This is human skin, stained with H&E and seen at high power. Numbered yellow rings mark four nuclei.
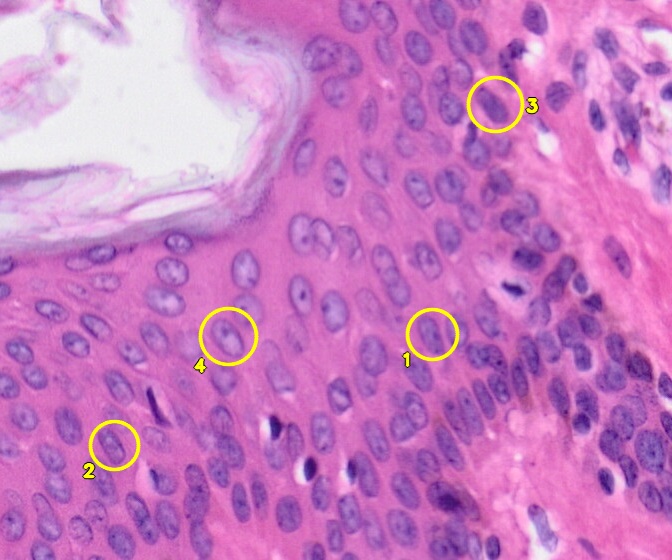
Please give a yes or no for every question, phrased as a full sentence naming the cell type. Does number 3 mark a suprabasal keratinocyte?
No, the cell at marker 3 is not a suprabasal keratinocyte; it is a basal keratinocyte.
